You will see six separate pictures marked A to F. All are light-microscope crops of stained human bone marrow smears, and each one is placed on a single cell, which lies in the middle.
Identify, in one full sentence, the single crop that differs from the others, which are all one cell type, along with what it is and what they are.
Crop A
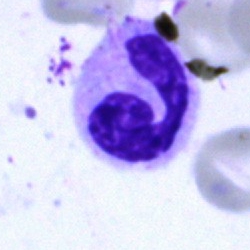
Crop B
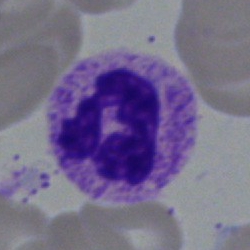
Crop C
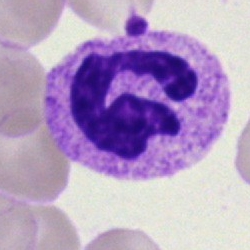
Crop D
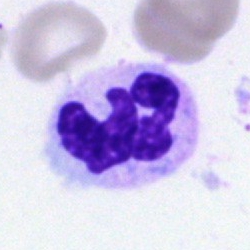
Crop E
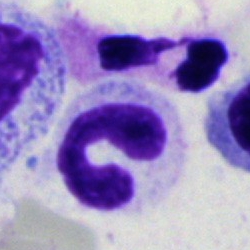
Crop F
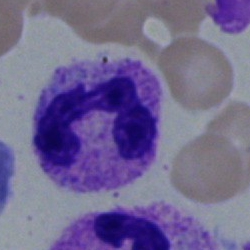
Unlike the other crops, which all show segmented neutrophils, crop F is a band neutrophil.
